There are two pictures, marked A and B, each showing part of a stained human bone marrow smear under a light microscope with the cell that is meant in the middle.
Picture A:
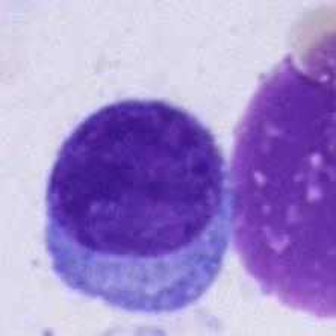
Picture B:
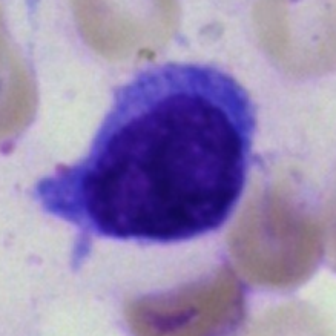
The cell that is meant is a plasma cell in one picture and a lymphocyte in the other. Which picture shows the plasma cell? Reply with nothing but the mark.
A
